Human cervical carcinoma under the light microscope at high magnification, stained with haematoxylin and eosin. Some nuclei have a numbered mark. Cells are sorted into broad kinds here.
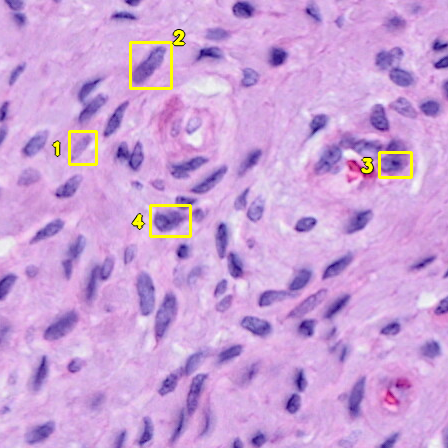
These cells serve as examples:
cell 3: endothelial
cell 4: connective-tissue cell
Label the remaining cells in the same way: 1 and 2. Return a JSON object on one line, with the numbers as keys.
{"1": "connective-tissue cell", "2": "connective-tissue cell"}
